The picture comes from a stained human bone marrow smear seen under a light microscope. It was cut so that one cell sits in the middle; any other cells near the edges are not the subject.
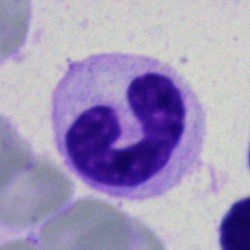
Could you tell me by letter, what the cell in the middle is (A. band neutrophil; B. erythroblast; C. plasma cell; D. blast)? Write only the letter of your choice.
A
